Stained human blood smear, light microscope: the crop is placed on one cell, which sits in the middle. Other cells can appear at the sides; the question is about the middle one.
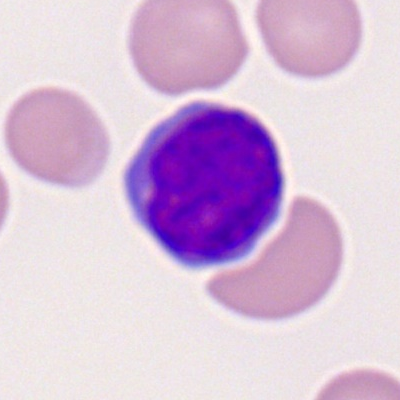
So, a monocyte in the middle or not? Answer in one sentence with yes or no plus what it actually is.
No, the cell of interest here is a lymphocyte and not a monocyte.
